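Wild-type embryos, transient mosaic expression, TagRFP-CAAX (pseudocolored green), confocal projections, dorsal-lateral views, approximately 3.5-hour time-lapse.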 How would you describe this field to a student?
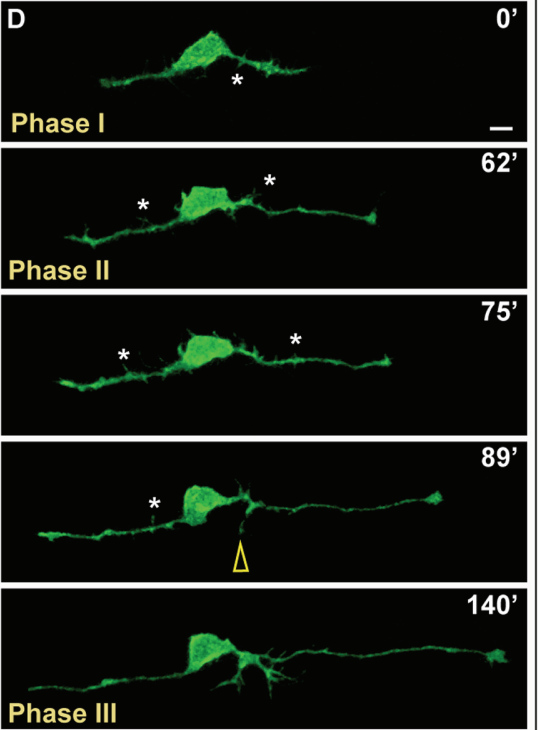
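Here one sensory neuron is followed through successive frames as its central axons grow out. The compact cell body sends a long axon forward and another backward, each ending in a small widened growth cone, and short thin filopodial spikes appear and vanish along the shafts.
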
